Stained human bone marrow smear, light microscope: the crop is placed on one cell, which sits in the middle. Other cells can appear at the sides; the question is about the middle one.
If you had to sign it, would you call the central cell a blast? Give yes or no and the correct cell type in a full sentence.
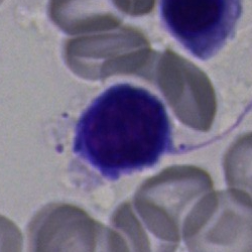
No, the cell at the centre of the crop is a lymphocyte and not a blast.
